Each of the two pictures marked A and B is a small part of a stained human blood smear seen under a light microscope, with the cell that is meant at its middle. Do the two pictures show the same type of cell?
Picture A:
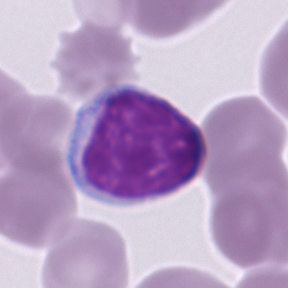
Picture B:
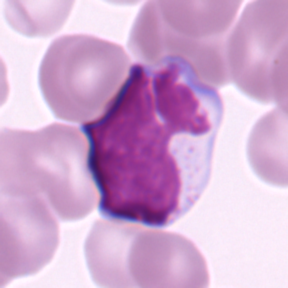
yes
